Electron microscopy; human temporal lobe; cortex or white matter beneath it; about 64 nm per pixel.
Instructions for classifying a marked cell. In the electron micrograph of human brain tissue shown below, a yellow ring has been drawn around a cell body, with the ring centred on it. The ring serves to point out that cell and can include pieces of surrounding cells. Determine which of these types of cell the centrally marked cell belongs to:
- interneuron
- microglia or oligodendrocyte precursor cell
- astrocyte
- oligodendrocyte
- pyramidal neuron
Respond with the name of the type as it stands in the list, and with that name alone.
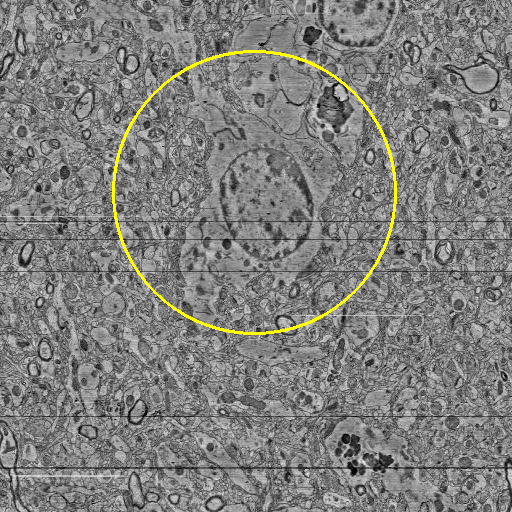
astrocyte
